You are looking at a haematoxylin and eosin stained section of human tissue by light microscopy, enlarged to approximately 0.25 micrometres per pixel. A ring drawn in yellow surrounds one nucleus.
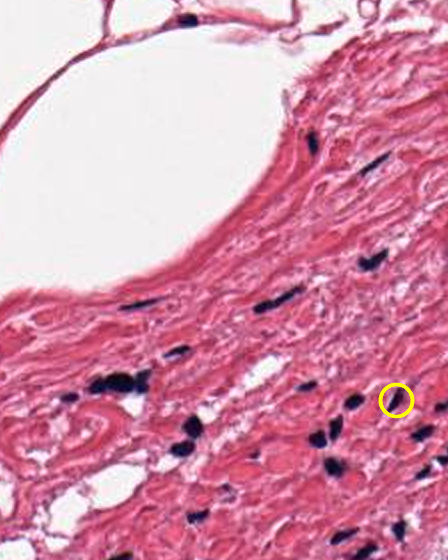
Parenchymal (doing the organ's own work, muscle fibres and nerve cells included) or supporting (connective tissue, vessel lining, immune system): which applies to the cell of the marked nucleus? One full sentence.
Among the cells in view, a supporting cell holds the marked nucleus.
